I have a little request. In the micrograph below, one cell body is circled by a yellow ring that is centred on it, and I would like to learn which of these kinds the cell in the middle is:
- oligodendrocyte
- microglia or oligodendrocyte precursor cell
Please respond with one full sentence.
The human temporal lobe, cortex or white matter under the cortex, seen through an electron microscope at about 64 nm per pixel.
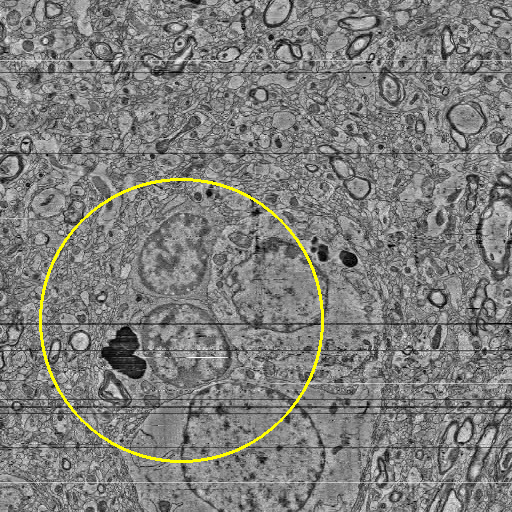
The cell sitting in the middle of the yellow ring in the micrograph is an oligodendrocyte.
